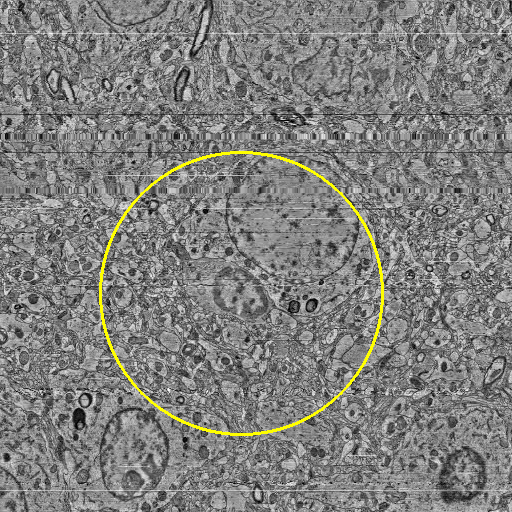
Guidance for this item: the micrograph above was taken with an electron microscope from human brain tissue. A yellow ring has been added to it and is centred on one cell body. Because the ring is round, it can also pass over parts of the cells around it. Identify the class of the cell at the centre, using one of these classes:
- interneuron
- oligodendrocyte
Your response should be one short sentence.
The ring surrounds the body of an oligodendrocyte.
